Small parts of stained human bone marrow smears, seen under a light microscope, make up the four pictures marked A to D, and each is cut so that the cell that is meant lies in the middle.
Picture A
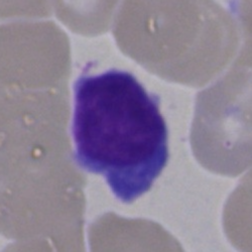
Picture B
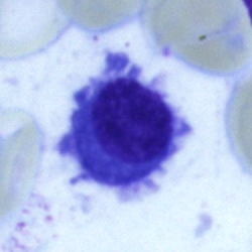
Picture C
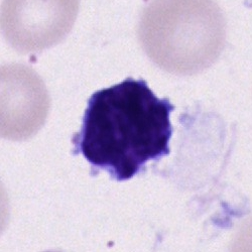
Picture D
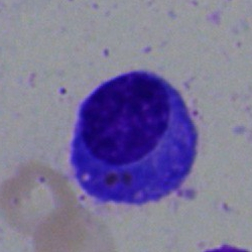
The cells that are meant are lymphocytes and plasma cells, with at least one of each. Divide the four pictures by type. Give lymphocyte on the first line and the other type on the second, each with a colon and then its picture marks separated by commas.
lymphocyte: C
plasma cell: A, B, D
